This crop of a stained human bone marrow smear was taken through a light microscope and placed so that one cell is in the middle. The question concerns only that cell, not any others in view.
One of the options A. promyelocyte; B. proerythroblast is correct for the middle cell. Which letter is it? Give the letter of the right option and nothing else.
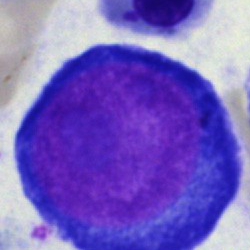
B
